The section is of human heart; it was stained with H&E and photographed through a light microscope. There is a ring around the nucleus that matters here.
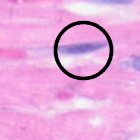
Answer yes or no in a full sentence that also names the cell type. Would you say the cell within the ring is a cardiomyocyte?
No, the cell within the ring is not to be called a cardiomyocyte; it is an endothelial cell.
